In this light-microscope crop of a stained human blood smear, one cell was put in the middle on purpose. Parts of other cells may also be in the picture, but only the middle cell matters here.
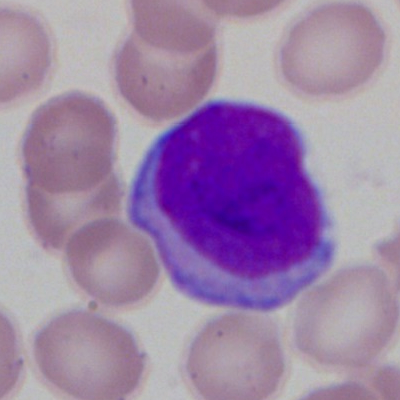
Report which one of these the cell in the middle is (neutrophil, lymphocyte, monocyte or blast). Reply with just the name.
blast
